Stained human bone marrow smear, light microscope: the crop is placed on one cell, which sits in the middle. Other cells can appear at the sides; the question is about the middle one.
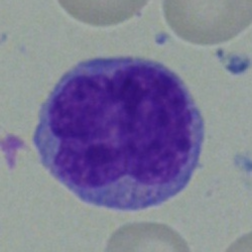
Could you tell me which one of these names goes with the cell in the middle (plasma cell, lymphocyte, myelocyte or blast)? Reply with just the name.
blast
